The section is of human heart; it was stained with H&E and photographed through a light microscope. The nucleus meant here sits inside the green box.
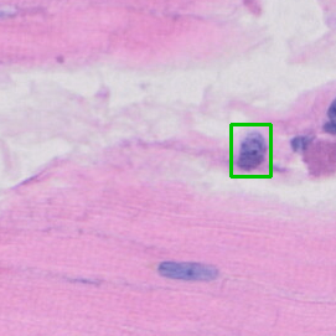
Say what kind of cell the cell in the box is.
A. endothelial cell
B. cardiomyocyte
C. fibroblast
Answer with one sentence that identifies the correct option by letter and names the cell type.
According to option C, the cell in the box is a fibroblast, and this is correct.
